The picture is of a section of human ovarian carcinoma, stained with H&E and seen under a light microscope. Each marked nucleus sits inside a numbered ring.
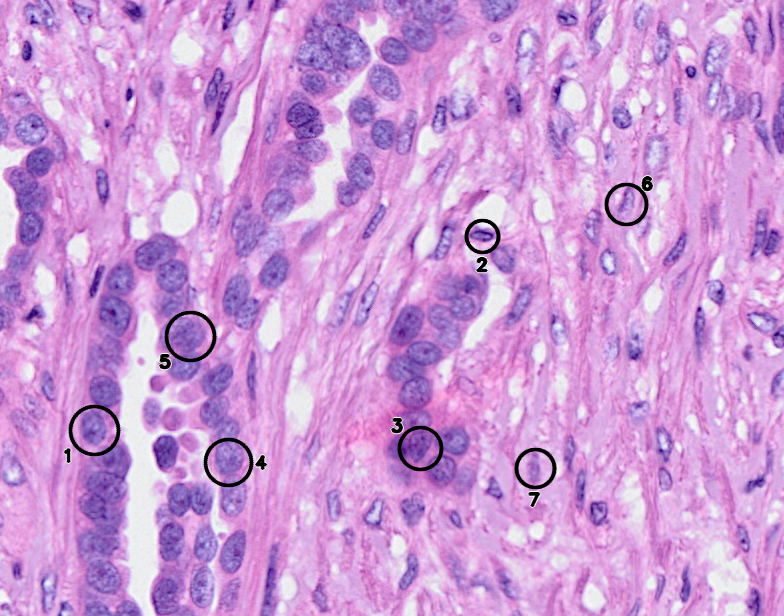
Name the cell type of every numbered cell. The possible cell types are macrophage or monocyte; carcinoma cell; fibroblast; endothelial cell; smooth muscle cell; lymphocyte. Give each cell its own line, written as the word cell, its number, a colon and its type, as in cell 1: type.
cell 1: carcinoma cell
cell 2: macrophage or monocyte
cell 3: carcinoma cell
cell 4: carcinoma cell
cell 5: carcinoma cell
cell 6: fibroblast
cell 7: fibroblast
